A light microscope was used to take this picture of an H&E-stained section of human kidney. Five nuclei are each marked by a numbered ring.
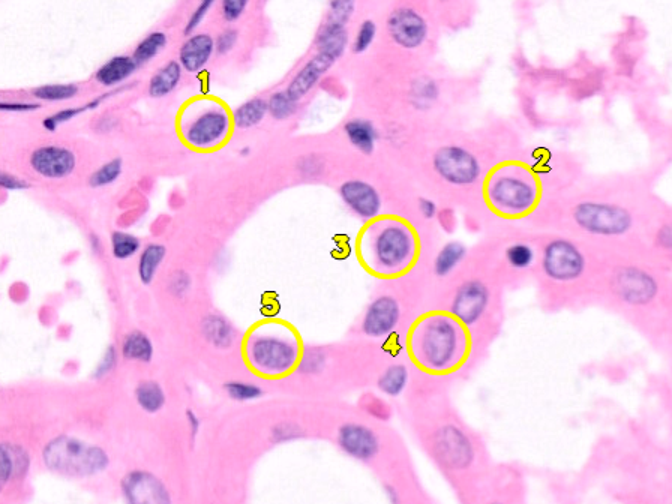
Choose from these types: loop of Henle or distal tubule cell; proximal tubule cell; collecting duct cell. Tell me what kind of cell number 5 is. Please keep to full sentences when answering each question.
The marked cell bearing number 5 is a loop of Henle or distal tubule cell.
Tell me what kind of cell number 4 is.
The nucleus labeled 4 belongs to a proximal tubule cell.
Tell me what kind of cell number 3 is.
Identified by the number 3, the cell is a loop of Henle or distal tubule cell.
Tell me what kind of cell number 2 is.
Cell 2 should be recorded as a proximal tubule cell.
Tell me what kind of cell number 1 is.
The numbered cell 1 in this field is a collecting duct cell.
